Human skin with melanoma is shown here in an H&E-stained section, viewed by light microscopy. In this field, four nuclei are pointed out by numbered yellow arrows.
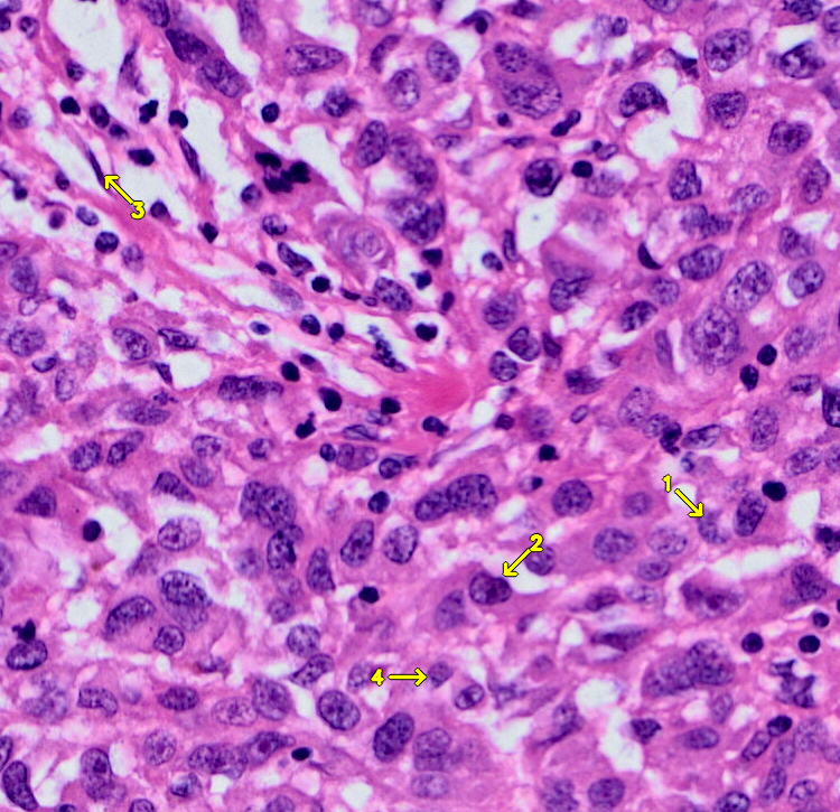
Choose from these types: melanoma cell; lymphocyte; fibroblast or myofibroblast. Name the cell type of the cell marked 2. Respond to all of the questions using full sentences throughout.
The cell carrying label 2 is identified as a melanoma cell.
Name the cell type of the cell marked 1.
The marked cell with the number 1 is recognised as a melanoma cell.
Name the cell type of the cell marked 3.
The nucleus labelled 3 belongs to a fibroblast or myofibroblast.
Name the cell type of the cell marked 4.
Looking at the numbered marks, cell 4 is a melanoma cell.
